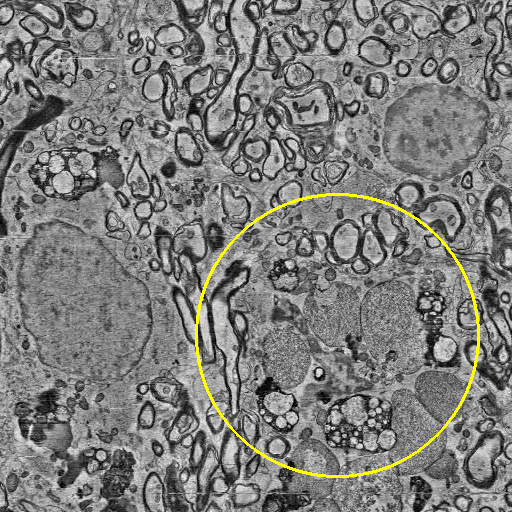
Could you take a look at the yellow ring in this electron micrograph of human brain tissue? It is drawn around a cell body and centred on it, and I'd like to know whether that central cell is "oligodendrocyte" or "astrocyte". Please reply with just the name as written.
astrocyte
